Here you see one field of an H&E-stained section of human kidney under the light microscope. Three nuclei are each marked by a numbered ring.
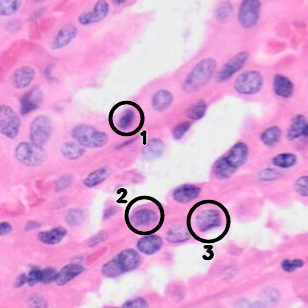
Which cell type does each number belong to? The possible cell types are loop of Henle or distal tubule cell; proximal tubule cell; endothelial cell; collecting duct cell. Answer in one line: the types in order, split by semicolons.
collecting duct cell; loop of Henle or distal tubule cell; loop of Henle or distal tubule cell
